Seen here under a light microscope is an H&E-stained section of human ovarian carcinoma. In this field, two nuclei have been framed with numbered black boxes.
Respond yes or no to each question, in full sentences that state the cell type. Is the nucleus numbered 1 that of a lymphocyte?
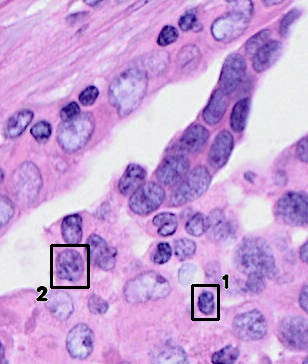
Yes, the cell marked by the number 1 is a lymphocyte.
